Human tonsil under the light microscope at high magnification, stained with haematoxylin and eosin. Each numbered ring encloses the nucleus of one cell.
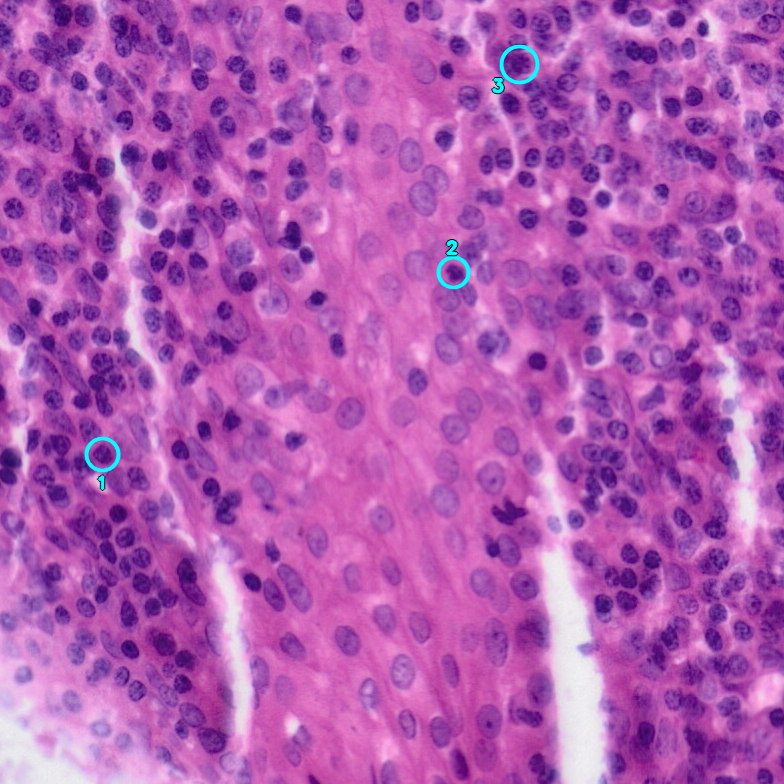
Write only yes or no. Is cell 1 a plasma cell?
yes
